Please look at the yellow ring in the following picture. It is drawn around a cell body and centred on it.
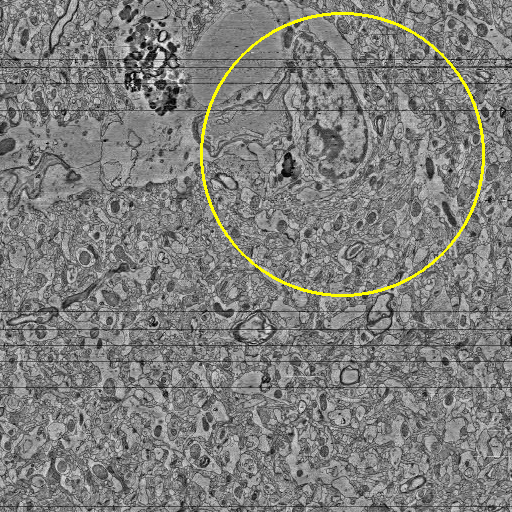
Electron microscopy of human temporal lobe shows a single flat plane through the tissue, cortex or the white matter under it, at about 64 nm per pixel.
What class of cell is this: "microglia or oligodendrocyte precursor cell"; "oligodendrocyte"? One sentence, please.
The ring surrounds the cell body of a microglial cell or oligodendrocyte precursor cell.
